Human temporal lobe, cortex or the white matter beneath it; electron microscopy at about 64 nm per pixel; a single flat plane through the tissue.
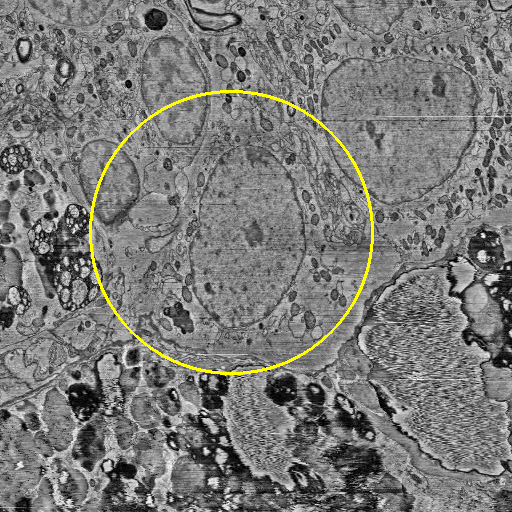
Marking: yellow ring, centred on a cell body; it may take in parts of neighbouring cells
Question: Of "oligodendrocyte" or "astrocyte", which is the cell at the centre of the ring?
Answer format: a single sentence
The ring surrounds the body of an astrocyte.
